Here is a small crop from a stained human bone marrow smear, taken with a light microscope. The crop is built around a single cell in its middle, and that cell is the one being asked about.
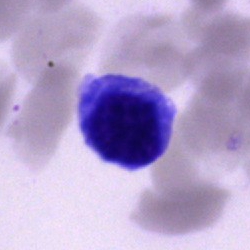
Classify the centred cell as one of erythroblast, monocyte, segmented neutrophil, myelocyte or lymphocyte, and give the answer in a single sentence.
This crop is built around a lymphocyte at its centre.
